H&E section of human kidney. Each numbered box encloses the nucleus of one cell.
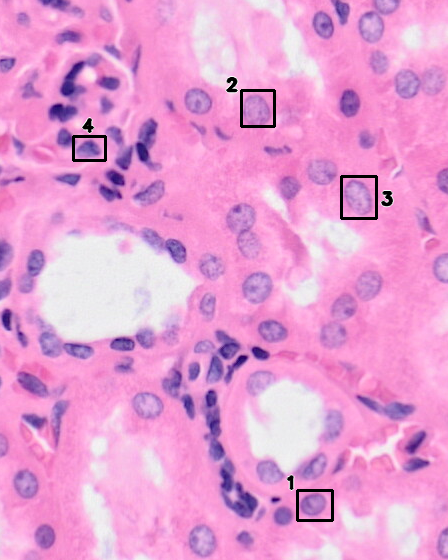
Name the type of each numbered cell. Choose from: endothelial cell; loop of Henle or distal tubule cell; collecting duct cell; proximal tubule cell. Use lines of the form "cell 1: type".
cell 1: proximal tubule cell
cell 2: proximal tubule cell
cell 3: proximal tubule cell
cell 4: endothelial cell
